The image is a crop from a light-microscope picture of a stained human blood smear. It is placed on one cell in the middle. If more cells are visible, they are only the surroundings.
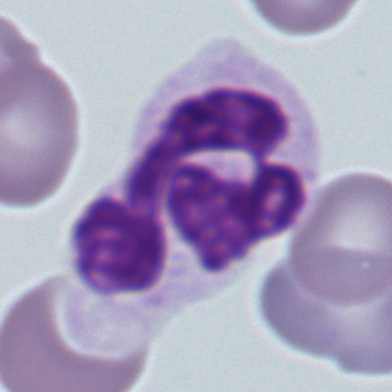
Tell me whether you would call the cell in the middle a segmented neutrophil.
yes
